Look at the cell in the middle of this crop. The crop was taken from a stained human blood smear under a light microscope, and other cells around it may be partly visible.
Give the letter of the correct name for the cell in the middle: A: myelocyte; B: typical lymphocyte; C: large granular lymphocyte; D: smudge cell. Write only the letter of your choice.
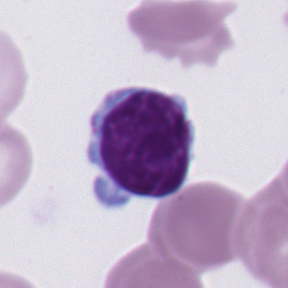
B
